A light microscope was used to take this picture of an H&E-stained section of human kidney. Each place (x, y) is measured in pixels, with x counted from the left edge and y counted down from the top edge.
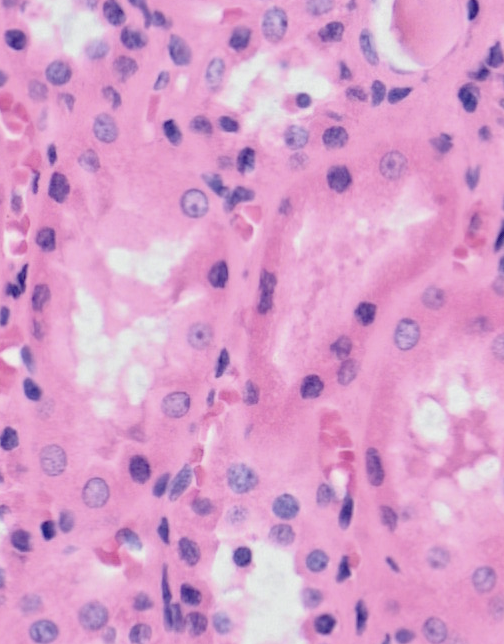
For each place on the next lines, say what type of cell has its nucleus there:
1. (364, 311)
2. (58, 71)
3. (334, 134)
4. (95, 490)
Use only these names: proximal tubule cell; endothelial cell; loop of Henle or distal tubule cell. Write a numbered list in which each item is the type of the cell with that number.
1. proximal tubule cell
2. loop of Henle or distal tubule cell
3. loop of Henle or distal tubule cell
4. proximal tubule cell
